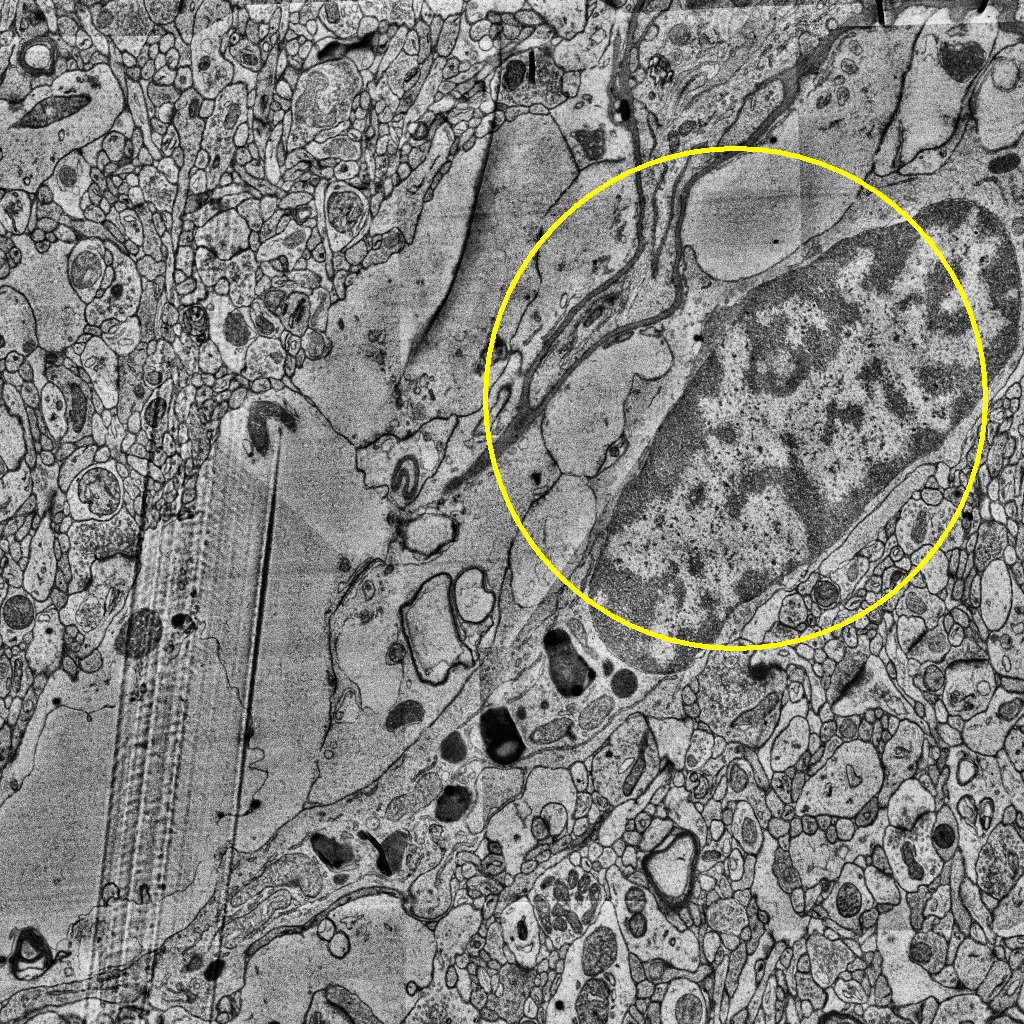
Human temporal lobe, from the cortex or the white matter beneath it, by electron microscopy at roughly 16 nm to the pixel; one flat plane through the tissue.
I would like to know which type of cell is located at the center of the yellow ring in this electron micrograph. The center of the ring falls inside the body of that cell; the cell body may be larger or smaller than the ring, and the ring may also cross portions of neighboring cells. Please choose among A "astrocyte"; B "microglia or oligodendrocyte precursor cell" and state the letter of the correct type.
B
